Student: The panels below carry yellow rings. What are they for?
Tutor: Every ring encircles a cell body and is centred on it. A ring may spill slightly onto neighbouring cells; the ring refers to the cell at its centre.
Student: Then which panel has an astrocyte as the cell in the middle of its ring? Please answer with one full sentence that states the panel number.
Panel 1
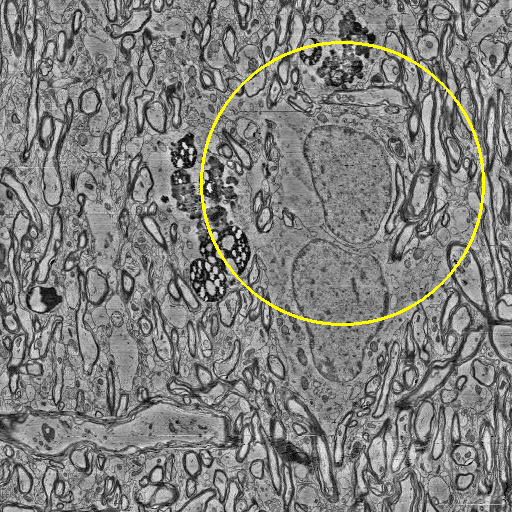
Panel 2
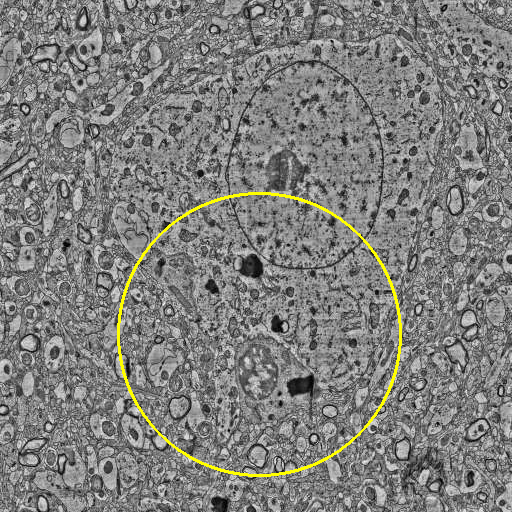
In Panel 1, the cell centred in the ring is the one sought.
